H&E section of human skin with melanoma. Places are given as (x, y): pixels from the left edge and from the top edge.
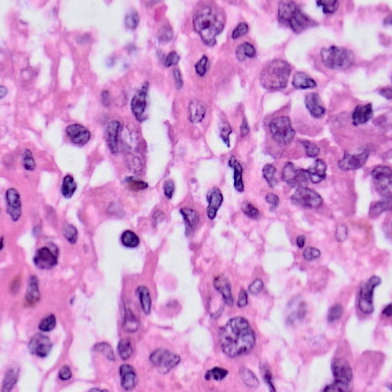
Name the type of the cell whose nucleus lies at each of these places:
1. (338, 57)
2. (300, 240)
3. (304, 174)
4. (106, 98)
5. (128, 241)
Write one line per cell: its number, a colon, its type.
1: melanoma cell
2: macrophage or monocyte
3: melanoma cell
4: macrophage or monocyte
5: lymphocyte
